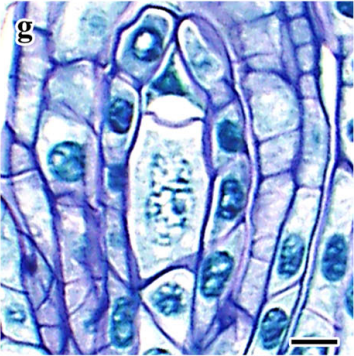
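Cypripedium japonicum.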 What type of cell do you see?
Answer: Elongated functional dyad of megaspore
